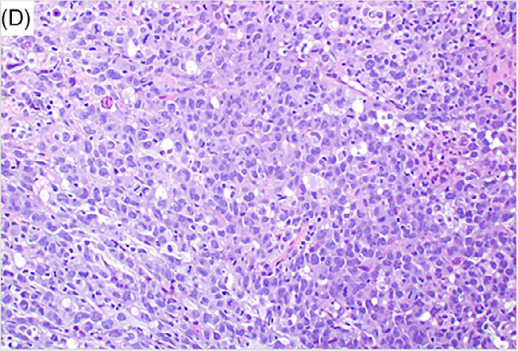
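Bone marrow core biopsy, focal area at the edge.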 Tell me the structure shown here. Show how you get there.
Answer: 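Sheets. Large cells lie in a continuous solid sheet. No mix of maturing marrow elements or fat is seen among them.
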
